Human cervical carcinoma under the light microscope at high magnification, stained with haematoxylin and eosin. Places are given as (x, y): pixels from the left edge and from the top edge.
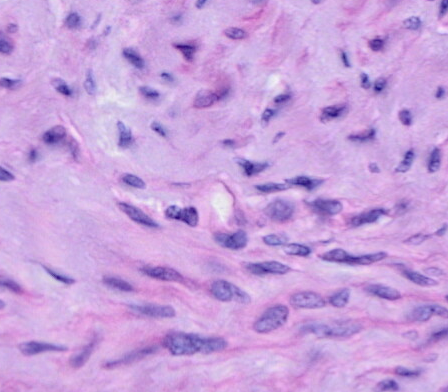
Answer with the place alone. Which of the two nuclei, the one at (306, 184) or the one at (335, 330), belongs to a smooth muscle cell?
(335, 330)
